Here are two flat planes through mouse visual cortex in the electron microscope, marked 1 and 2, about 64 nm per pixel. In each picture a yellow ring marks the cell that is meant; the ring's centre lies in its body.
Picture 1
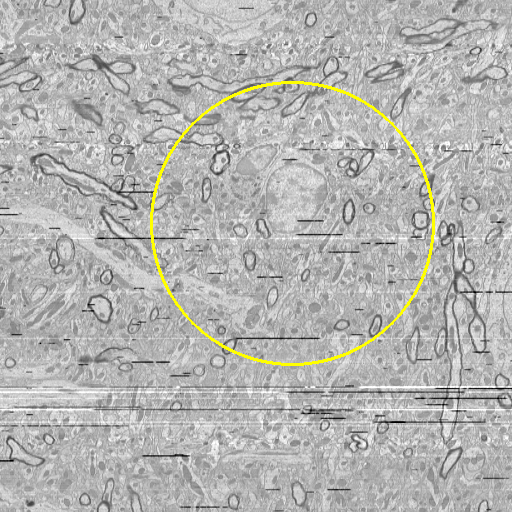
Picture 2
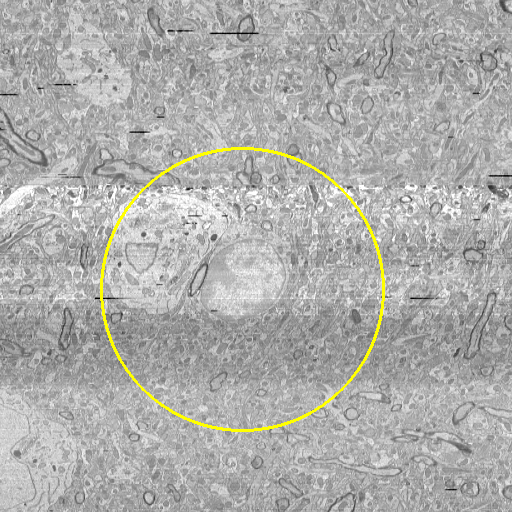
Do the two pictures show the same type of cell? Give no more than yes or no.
yes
